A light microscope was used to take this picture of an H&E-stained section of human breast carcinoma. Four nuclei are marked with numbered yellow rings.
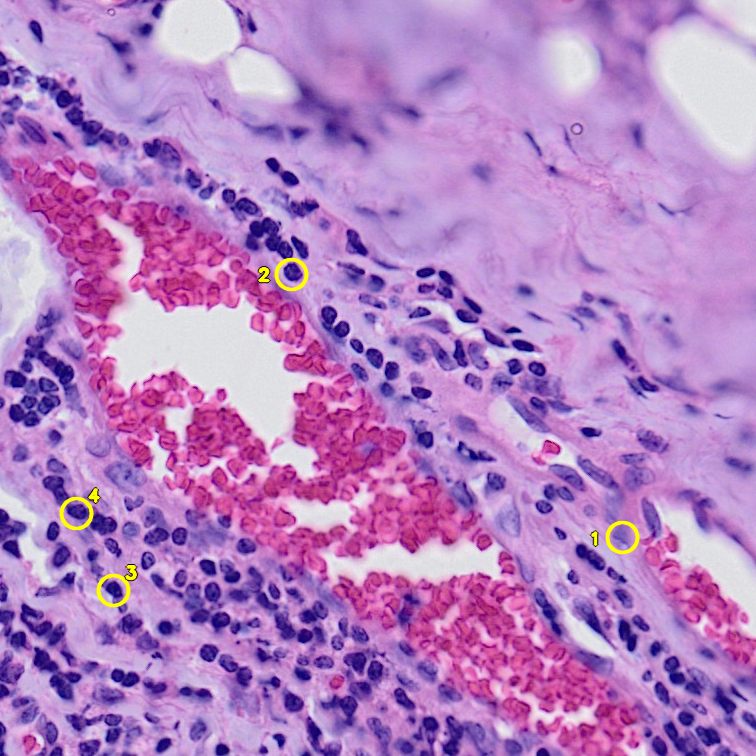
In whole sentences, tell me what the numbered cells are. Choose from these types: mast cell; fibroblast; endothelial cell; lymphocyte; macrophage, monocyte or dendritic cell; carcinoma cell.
Cell 1 is an endothelial cell, cell 2 is a lymphocyte, cell 3 is a lymphocyte and cell 4 is a lymphocyte.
